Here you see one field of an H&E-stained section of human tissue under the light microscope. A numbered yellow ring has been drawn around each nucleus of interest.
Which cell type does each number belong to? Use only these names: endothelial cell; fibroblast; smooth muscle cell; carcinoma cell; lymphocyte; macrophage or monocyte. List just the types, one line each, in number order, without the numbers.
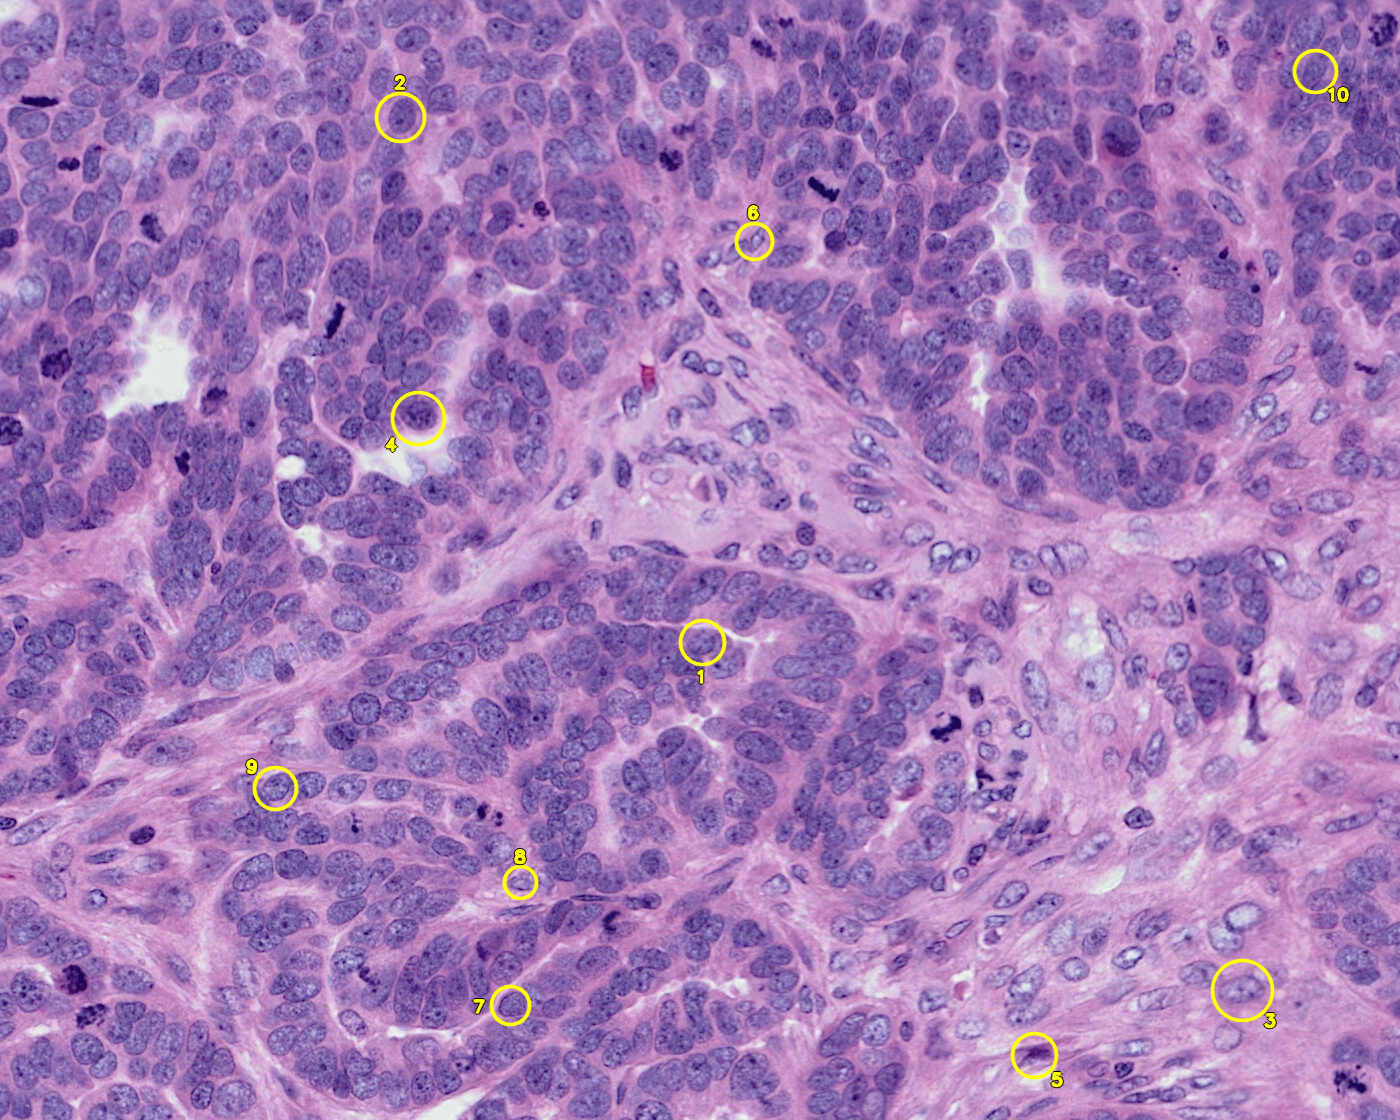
carcinoma cell
carcinoma cell
fibroblast
carcinoma cell
fibroblast
fibroblast
carcinoma cell
fibroblast
carcinoma cell
carcinoma cell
